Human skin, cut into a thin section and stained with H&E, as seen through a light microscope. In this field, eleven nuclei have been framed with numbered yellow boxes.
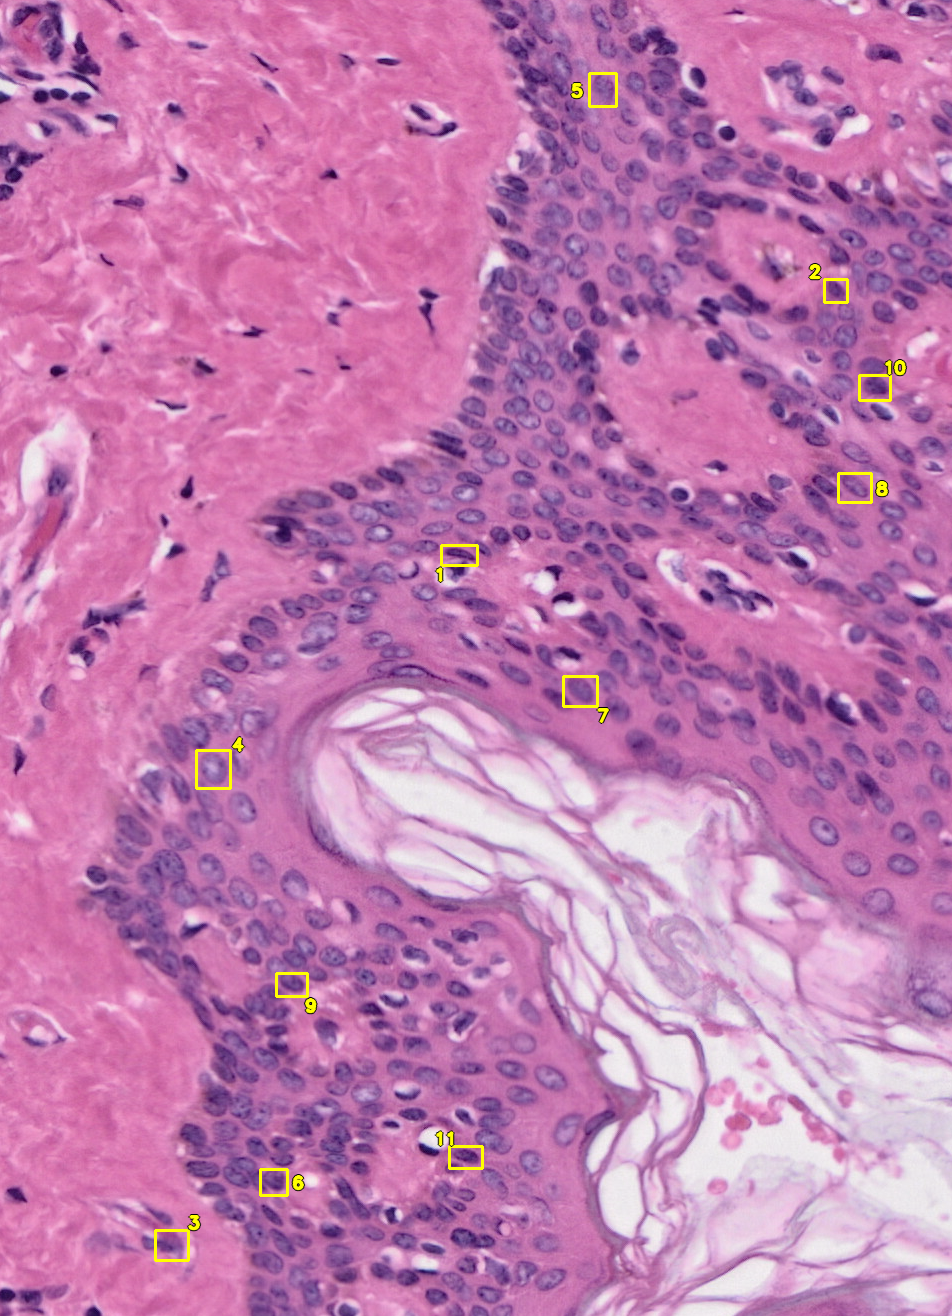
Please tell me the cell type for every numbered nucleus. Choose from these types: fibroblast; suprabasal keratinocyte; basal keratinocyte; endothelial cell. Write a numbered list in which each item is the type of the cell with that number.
1. basal keratinocyte
2. basal keratinocyte
3. endothelial cell
4. suprabasal keratinocyte
5. suprabasal keratinocyte
6. basal keratinocyte
7. suprabasal keratinocyte
8. suprabasal keratinocyte
9. basal keratinocyte
10. basal keratinocyte
11. basal keratinocyte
